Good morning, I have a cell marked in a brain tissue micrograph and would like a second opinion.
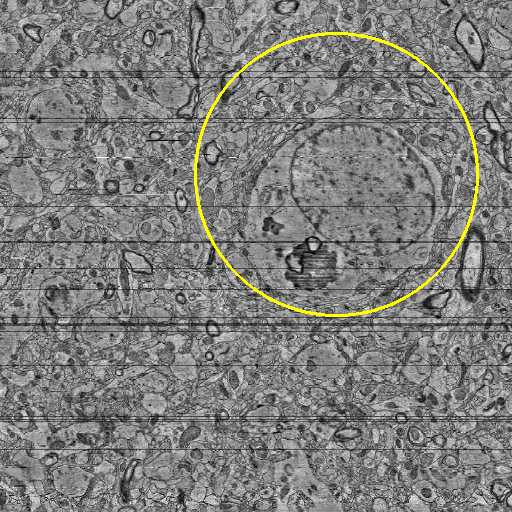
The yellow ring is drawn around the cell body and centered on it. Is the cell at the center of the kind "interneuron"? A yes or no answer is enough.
no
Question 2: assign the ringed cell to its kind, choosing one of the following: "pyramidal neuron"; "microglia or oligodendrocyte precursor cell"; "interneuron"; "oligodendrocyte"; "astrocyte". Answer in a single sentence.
Instead, the cell at the centre of the ring is an astrocyte.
